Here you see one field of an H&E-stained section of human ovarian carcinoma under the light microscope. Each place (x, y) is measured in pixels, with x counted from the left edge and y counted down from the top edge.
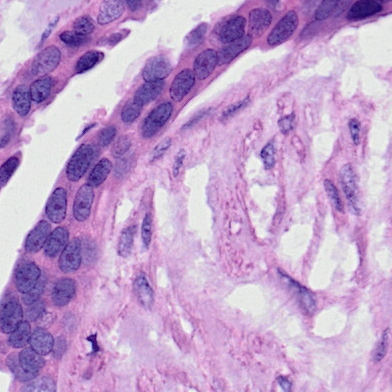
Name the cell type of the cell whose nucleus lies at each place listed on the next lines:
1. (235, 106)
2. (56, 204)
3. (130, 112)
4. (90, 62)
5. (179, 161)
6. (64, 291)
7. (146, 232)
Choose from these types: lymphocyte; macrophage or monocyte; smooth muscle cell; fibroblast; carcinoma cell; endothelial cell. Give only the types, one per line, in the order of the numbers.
fibroblast
carcinoma cell
carcinoma cell
carcinoma cell
fibroblast
carcinoma cell
fibroblast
